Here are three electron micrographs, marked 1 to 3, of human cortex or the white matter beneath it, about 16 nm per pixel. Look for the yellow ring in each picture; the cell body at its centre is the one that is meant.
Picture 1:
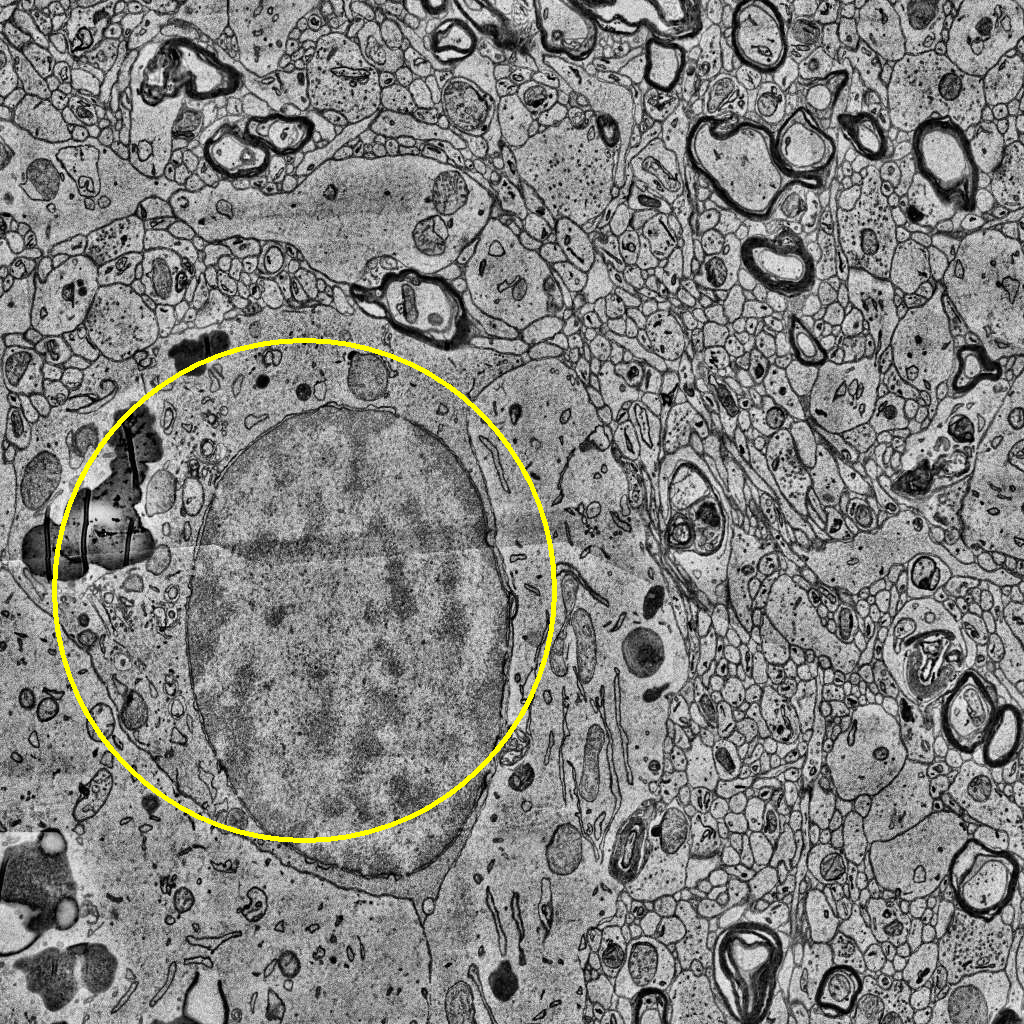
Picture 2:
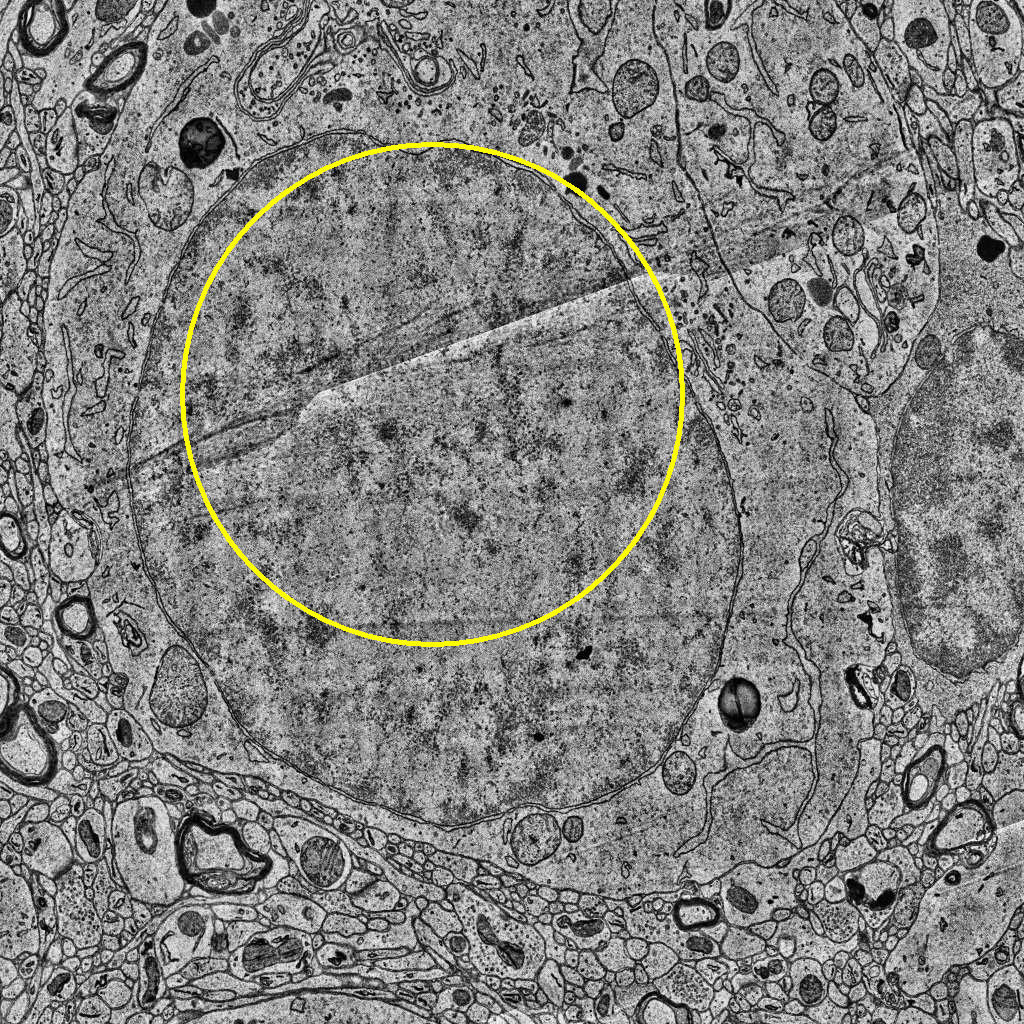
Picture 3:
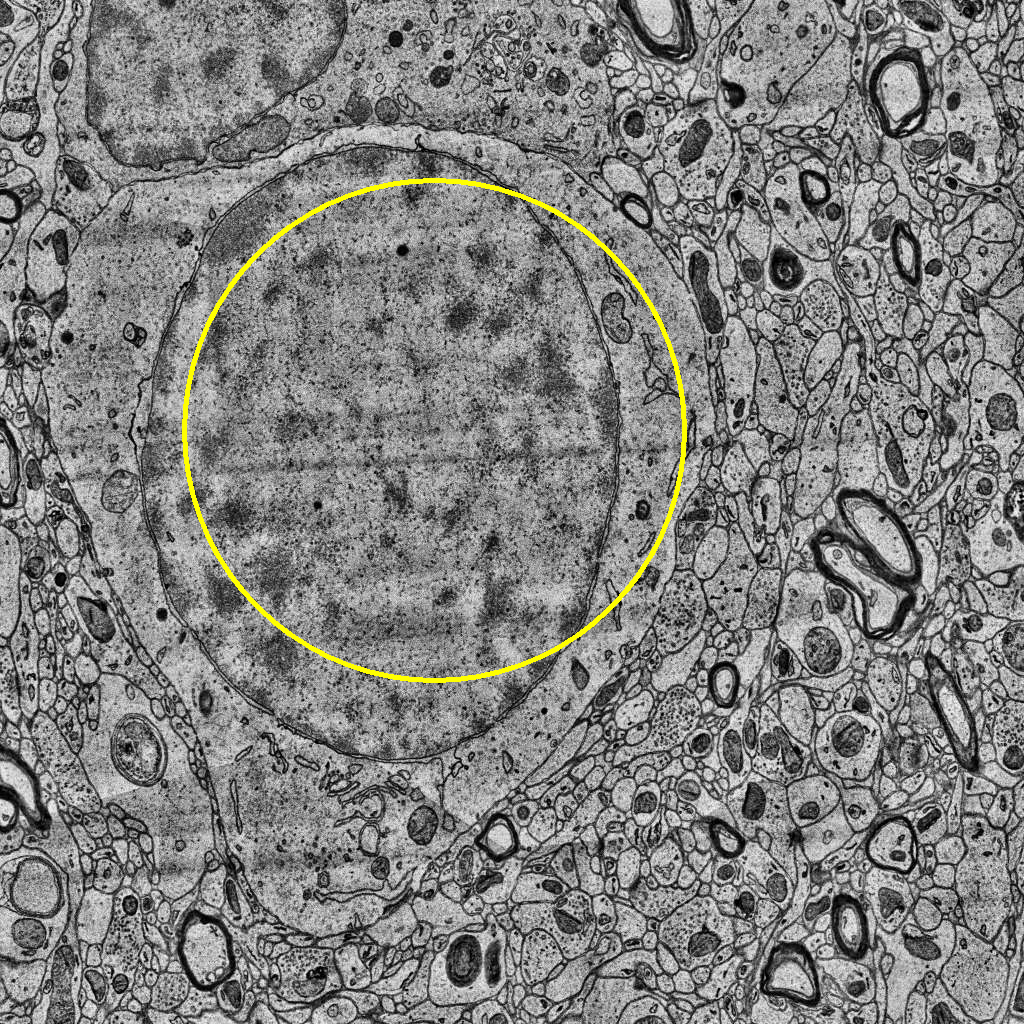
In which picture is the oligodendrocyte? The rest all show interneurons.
The picture with the oligodendrocyte is 1.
